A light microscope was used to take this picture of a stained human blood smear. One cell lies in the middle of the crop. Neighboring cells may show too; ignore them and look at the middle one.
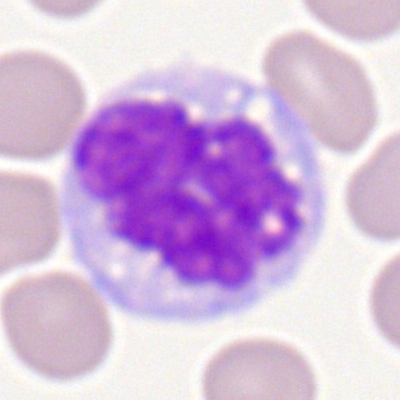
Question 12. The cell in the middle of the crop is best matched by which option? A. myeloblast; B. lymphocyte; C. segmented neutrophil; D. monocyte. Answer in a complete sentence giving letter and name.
With the cell in the middle being a monocyte, option D is the correct choice.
